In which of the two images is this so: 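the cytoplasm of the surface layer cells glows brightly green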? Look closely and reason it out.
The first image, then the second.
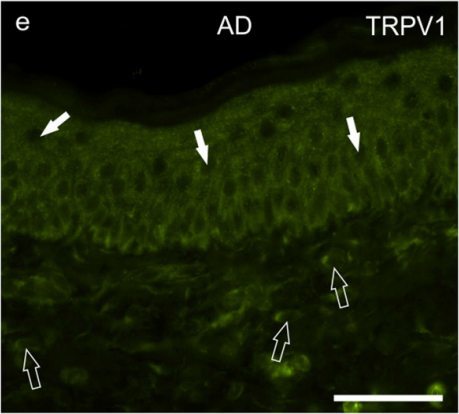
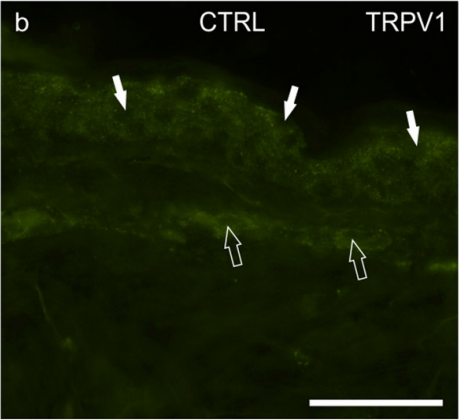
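The first image. First image: the thick surface layer shows bright green cytoplasm outlining dark nuclear holes. Second image: the surface layer shows only faint, dim green.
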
